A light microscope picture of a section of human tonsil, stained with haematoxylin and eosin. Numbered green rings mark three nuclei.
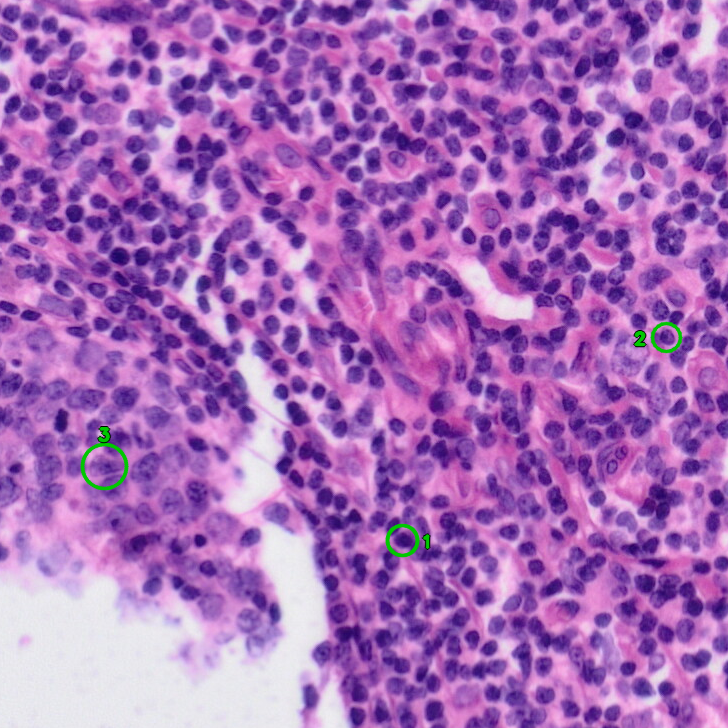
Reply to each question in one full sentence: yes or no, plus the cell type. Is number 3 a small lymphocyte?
No, it is a proliferating B cell, not a small lymphocyte, at number 3.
